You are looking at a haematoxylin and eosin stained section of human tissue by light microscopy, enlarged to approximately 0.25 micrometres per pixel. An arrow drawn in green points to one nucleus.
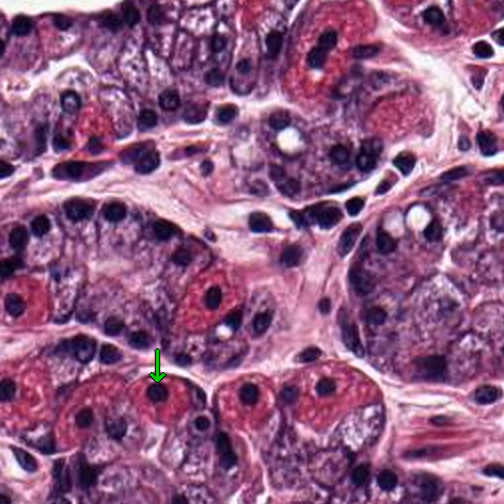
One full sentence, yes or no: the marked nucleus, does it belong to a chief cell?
No, a parietal cell holds the marked nucleus, while a chief cell does not.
